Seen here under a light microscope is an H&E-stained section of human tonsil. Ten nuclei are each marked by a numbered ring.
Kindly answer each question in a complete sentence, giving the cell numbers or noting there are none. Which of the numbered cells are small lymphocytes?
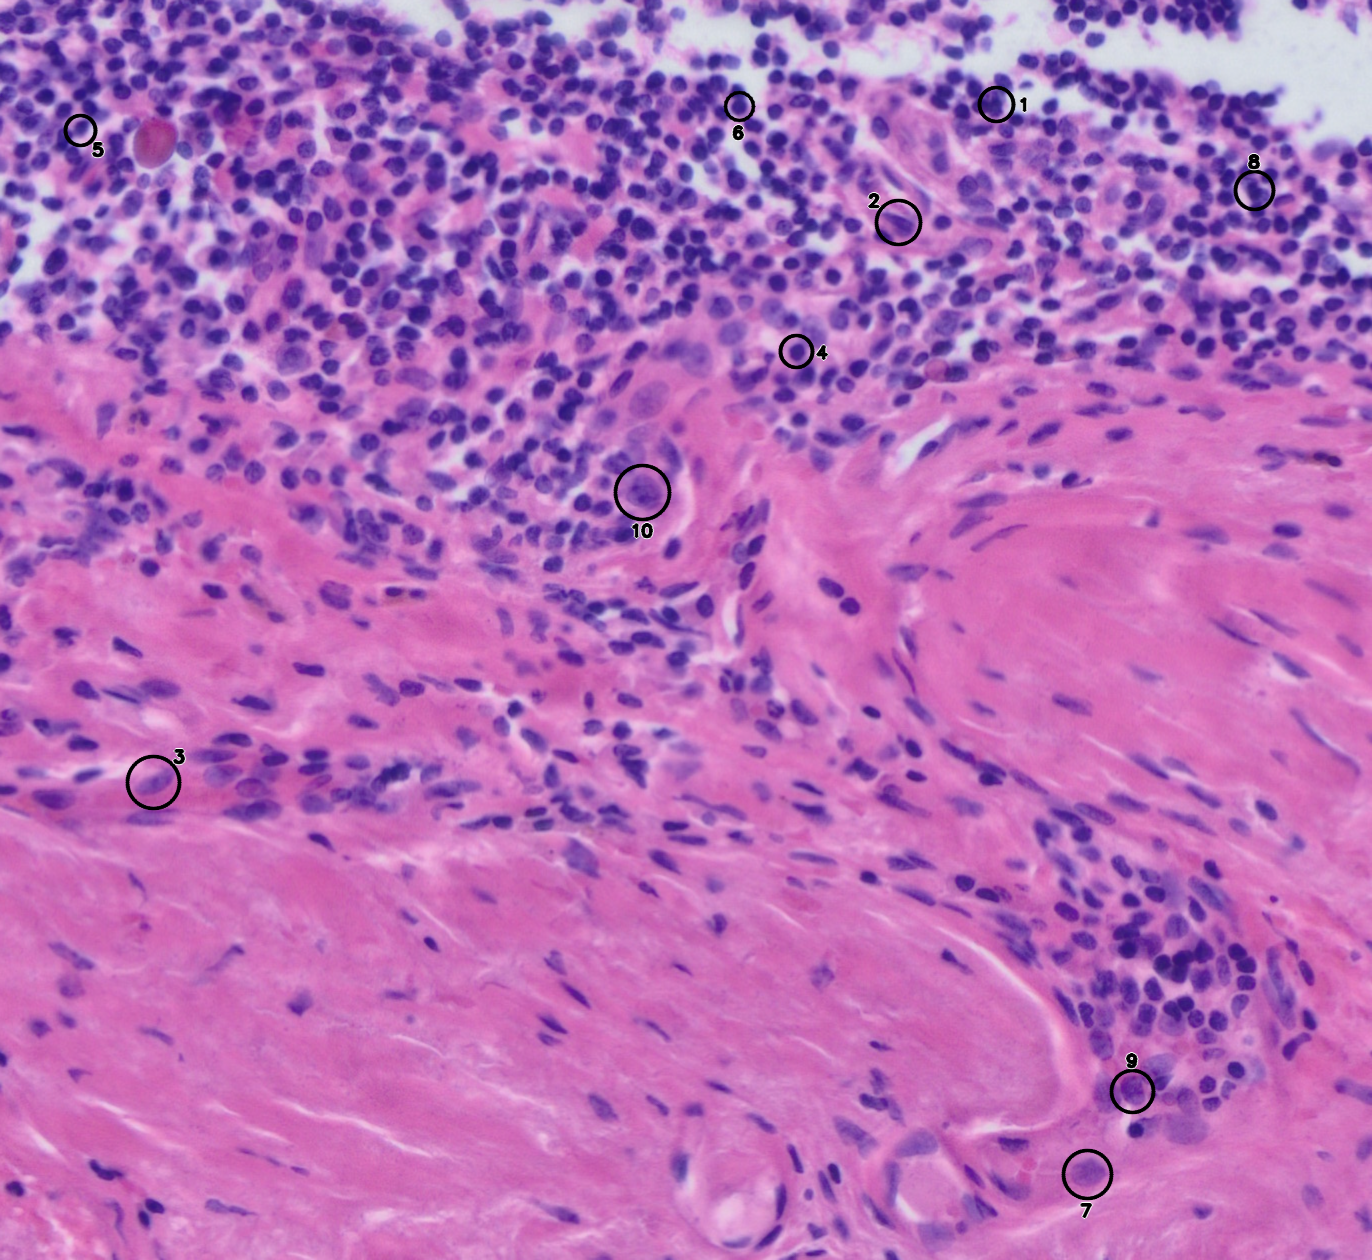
In short, the numbered cells 1, 5, 6 and 8 are small lymphocytes.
